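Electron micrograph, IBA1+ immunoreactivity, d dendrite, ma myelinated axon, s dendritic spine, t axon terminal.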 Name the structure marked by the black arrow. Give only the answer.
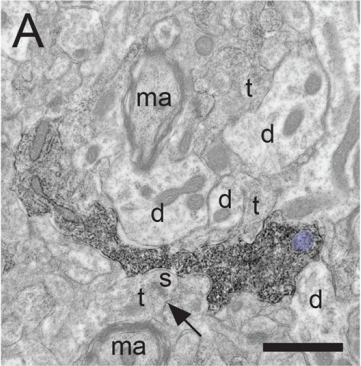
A: Excitatory synaptic clefts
